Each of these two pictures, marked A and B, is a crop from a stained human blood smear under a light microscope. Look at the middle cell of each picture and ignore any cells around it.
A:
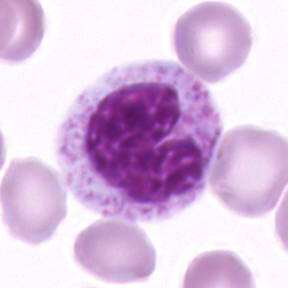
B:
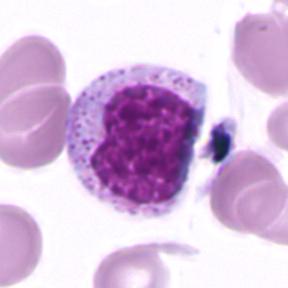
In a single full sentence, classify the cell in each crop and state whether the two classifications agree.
No, crop A shows a band neutrophil and crop B shows a metamyelocyte.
